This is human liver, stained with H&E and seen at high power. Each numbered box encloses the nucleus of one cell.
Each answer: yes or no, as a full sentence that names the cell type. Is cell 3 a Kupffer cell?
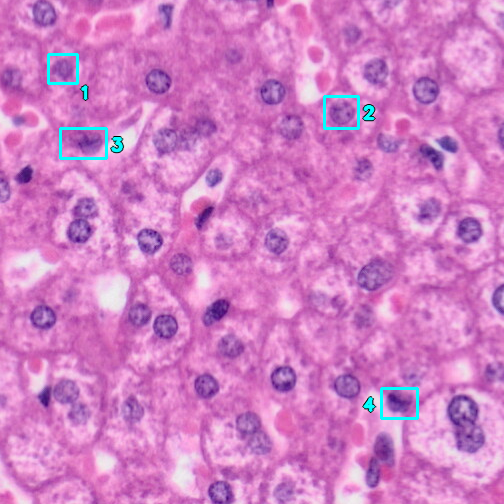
Yes, the cell referred to as number 3 is a Kupffer cell.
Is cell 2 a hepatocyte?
Yes, the cell whose nucleus carries number 2 is a hepatocyte.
